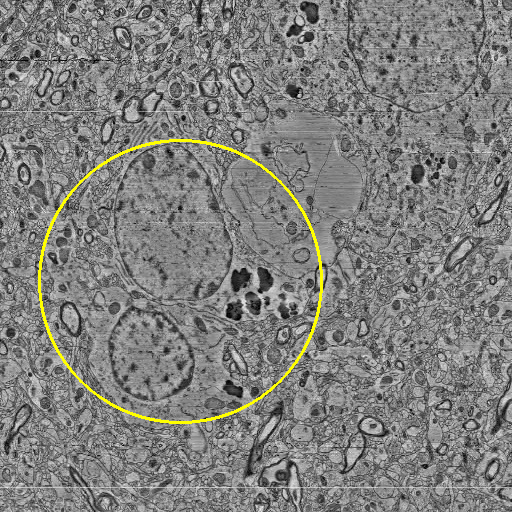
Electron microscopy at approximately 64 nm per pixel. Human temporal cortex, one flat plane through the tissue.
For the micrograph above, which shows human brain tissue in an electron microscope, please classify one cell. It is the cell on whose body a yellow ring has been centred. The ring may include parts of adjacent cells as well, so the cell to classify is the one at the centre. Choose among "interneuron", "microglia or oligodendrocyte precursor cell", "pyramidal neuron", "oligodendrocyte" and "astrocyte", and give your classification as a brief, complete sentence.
I classify this cell as an astrocyte.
